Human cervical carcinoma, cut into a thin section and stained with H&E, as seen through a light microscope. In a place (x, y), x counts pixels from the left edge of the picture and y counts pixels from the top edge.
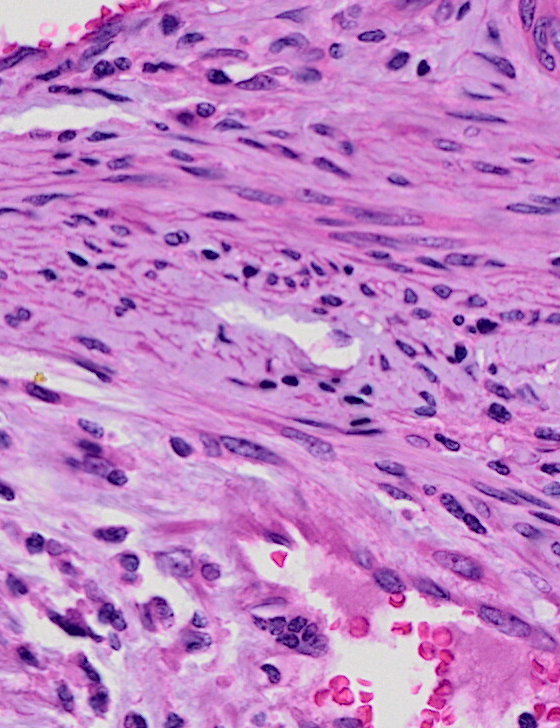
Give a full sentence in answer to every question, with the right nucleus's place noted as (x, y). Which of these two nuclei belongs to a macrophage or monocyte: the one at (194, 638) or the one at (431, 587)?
Of the two nuclei, the one at (194, 638) belongs to a macrophage or monocyte.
